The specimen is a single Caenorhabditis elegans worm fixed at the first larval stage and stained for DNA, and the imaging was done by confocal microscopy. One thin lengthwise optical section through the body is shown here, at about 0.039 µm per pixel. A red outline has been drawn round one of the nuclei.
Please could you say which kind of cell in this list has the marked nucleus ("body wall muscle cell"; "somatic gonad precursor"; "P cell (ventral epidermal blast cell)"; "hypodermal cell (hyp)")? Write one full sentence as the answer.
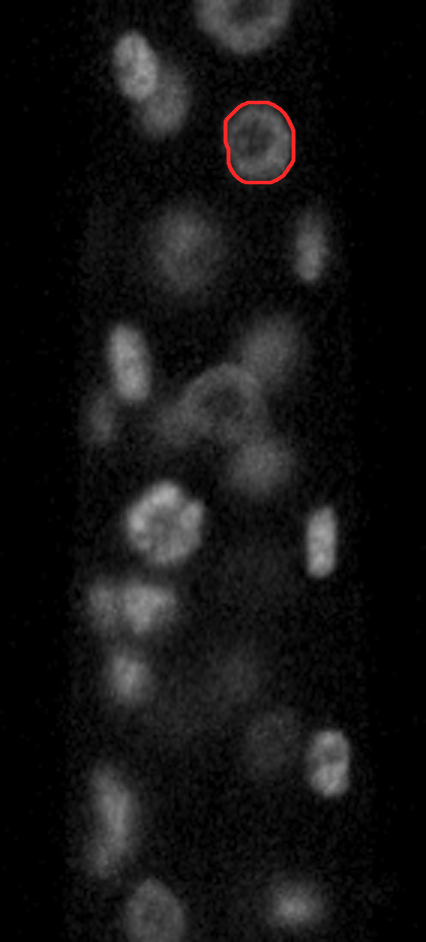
The cell with the marked nucleus is a hypodermal cell (hyp).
